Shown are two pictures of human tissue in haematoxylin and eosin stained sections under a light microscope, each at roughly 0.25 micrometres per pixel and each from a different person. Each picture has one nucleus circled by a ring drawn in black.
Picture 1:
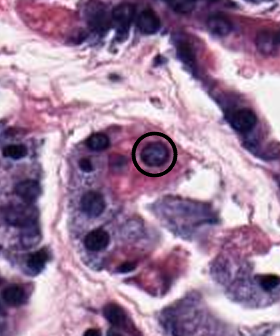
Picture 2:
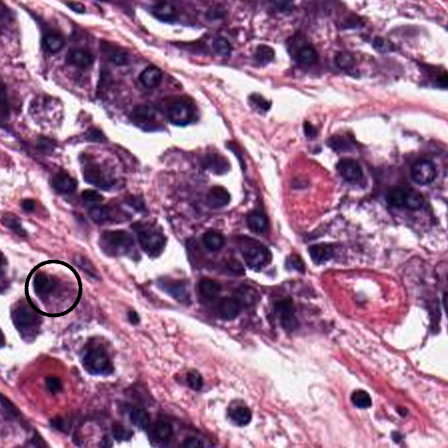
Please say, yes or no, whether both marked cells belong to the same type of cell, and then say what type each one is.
No, the first is a parietal cell and the second a chief cell.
